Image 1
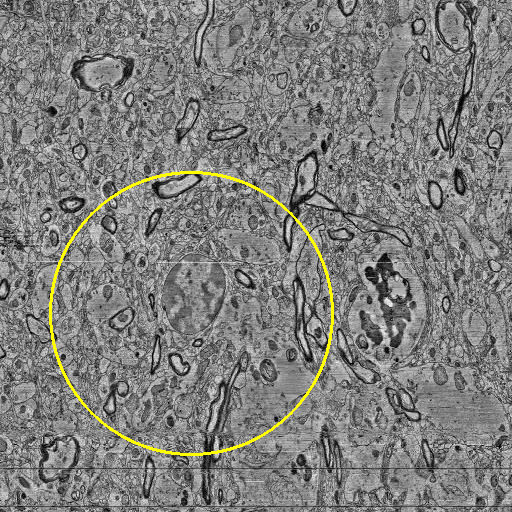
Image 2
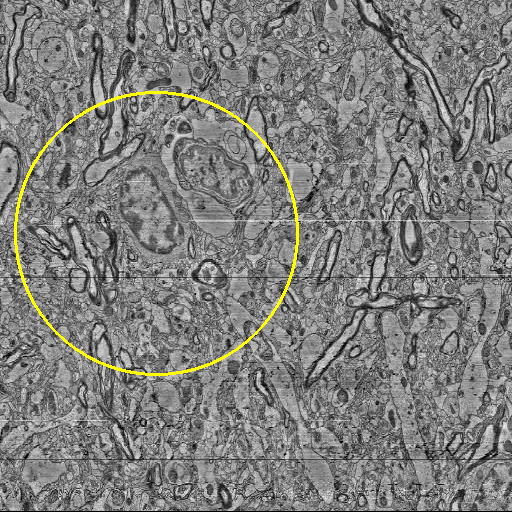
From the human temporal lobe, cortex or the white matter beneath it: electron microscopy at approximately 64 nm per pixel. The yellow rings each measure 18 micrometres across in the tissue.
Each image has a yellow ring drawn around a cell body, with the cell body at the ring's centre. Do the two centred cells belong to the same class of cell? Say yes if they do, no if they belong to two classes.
no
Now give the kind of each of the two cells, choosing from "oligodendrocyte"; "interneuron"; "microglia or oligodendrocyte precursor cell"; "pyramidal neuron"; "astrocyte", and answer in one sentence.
The cell in the first picture is a microglial cell or oligodendrocyte precursor cell, and the cell in the second is an oligodendrocyte.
